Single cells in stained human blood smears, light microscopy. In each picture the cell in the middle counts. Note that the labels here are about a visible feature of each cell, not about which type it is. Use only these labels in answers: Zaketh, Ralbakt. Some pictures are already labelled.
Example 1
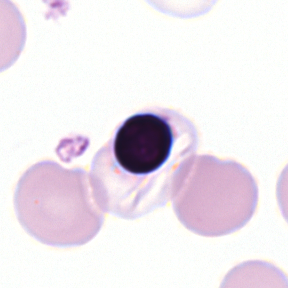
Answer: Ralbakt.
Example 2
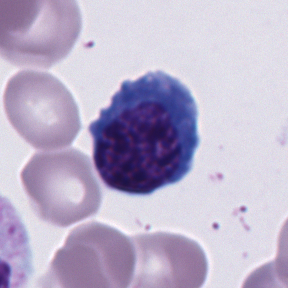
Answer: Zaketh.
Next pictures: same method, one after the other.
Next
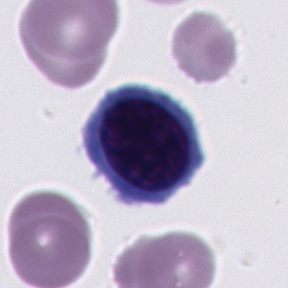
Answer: Zaketh.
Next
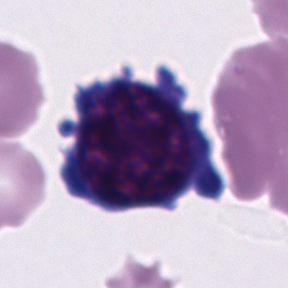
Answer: Zaketh.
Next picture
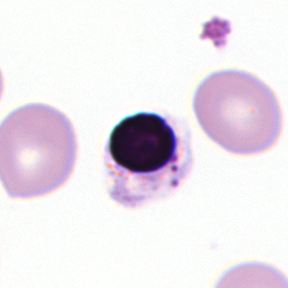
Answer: Ralbakt.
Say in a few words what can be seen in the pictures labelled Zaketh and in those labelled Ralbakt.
Zaketh, deep or dark blue cytoplasm; Ralbakt, pink or nearly colourless cytoplasm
